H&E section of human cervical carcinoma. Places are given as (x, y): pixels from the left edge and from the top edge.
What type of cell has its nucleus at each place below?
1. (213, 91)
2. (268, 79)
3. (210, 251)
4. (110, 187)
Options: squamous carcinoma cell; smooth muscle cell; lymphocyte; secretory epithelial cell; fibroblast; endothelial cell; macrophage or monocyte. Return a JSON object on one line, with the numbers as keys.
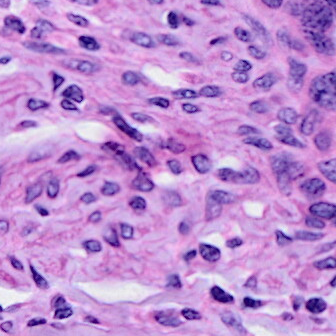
{"1": "smooth muscle cell", "2": "smooth muscle cell", "3": "lymphocyte", "4": "smooth muscle cell"}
